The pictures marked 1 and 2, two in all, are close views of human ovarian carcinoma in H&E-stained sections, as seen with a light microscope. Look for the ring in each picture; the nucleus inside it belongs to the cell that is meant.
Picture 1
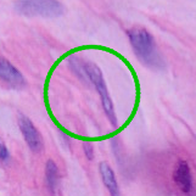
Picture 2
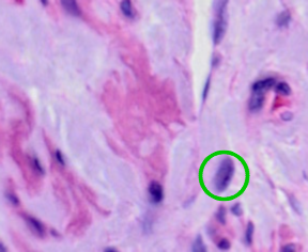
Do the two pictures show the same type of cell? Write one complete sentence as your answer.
No. Picture 1 shows a smooth muscle cell, but picture 2 shows a fibroblast.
